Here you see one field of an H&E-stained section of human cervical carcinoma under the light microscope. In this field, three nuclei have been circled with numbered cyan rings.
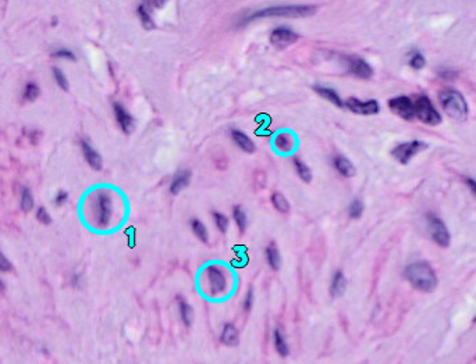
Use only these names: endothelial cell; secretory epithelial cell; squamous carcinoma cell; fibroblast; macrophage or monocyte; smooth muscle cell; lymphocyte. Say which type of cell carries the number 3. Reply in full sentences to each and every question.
The numeral 3 marks a smooth muscle cell in this section.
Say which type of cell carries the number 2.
The cell that bears the number 2 is a smooth muscle cell.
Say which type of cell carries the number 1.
Belonging to a fibroblast is the nucleus that carries the number 1.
